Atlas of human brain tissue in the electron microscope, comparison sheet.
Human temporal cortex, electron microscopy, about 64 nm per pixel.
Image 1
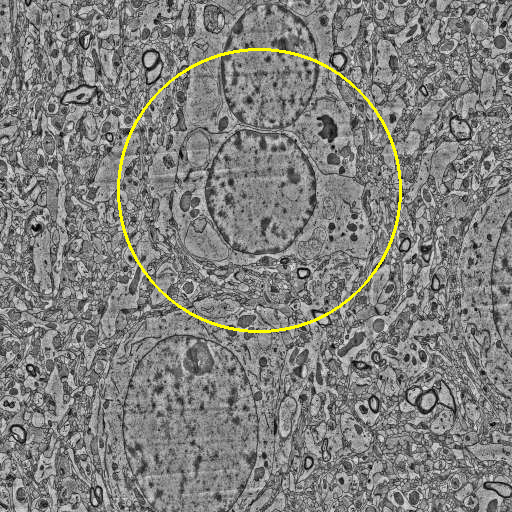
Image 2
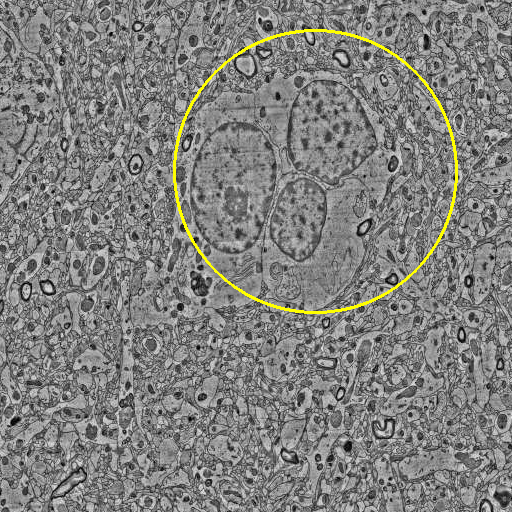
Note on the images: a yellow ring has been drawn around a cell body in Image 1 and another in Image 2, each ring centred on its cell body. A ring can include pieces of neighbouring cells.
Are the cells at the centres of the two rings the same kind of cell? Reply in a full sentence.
Yes, both cells are of the same kind.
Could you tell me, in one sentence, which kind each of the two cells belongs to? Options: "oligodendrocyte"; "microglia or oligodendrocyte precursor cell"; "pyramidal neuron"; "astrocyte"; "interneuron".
The first and the second cell are each an astrocyte.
